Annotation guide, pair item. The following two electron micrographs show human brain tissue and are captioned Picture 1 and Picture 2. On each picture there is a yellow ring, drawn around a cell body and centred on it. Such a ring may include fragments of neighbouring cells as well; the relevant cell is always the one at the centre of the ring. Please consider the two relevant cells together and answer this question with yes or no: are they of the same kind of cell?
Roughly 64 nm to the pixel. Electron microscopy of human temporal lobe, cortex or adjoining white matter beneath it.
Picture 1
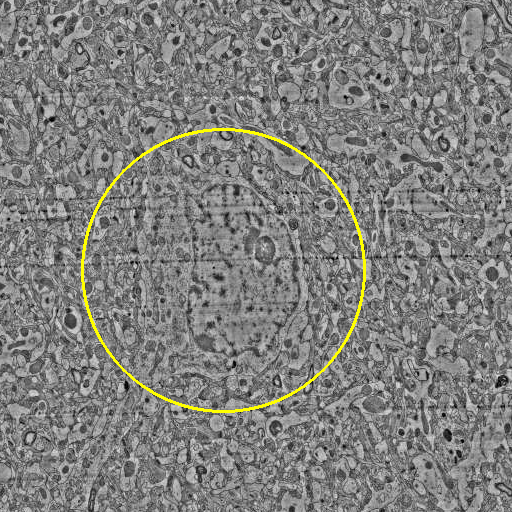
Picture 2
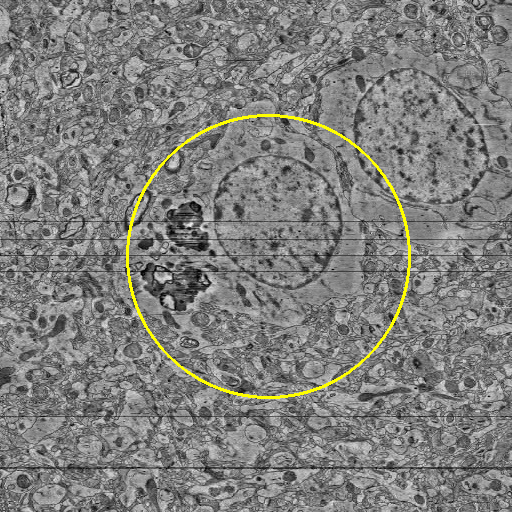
no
